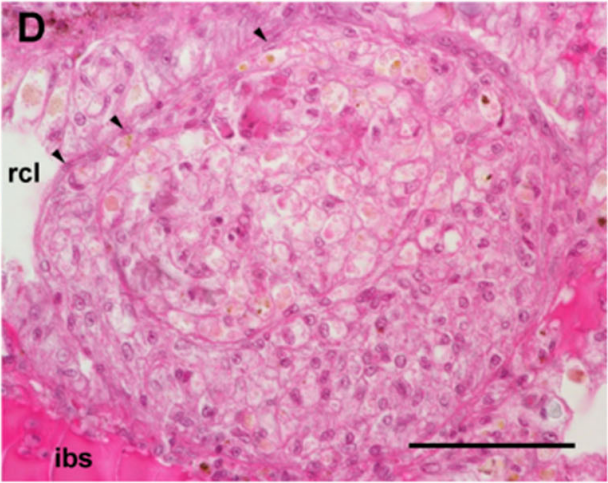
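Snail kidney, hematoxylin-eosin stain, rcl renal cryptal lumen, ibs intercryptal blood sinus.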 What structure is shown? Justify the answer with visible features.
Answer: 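A rounded nodule has a paler inner region of loosely packed cells. A surrounding outer rim of cells is separated from the inner region by a band of flattened cells.
Hence: A nodule showing a core and a cortex.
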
